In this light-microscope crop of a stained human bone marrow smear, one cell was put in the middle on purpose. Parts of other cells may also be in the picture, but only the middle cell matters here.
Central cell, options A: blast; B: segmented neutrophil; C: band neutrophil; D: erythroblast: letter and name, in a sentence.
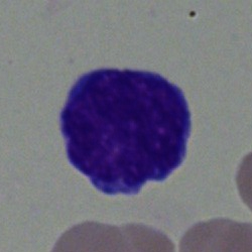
The cell in the middle is a blast, and that makes option A correct.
